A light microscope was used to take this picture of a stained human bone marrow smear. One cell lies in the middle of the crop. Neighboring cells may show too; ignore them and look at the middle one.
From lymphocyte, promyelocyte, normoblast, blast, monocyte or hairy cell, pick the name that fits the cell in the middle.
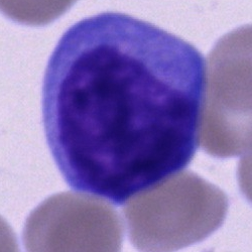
blast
